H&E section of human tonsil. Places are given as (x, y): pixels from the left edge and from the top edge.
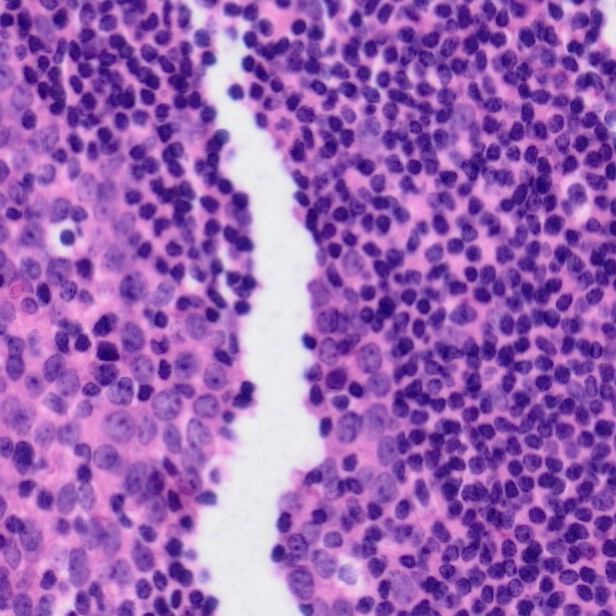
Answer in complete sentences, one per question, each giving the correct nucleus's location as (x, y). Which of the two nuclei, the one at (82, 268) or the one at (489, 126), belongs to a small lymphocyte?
Of the pair, the nucleus positioned at (489, 126) is that of a small lymphocyte.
